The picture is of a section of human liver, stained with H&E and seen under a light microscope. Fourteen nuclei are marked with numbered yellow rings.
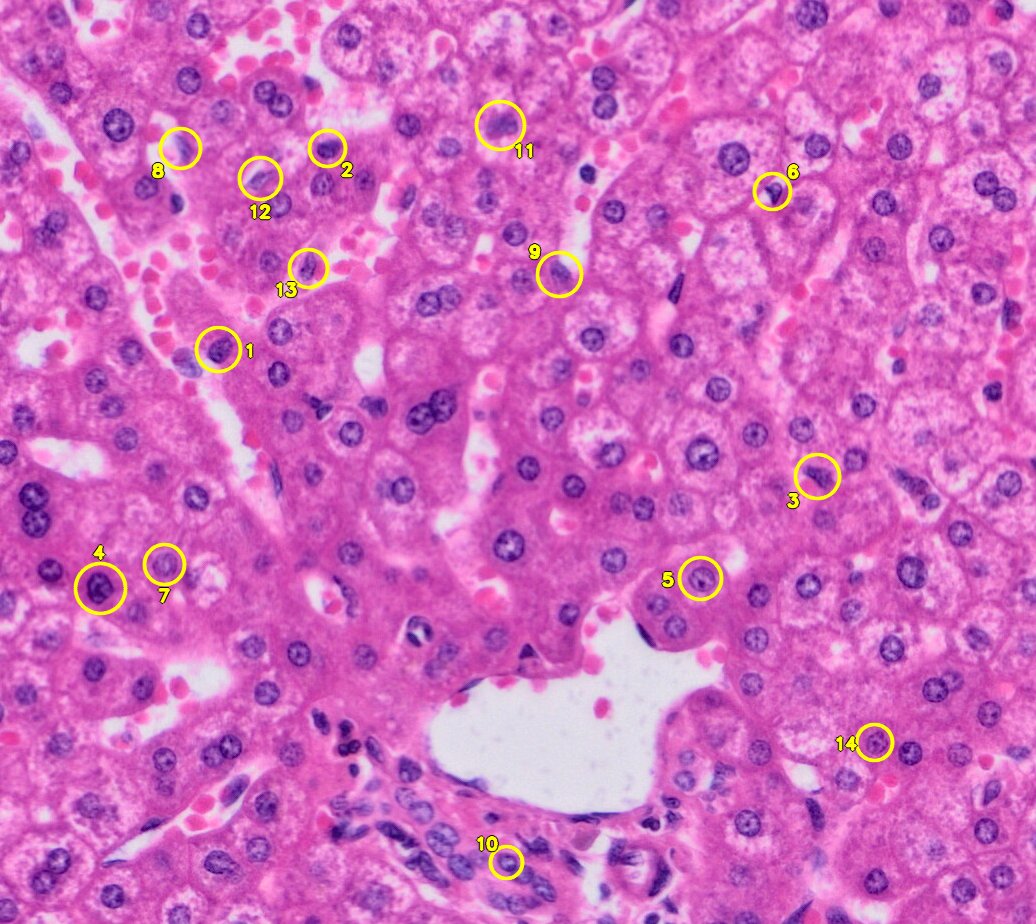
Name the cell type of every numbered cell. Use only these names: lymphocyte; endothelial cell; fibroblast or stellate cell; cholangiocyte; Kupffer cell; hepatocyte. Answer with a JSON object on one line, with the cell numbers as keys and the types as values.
{"1": "fibroblast or stellate cell", "2": "fibroblast or stellate cell", "3": "endothelial cell", "4": "hepatocyte", "5": "hepatocyte", "6": "endothelial cell", "7": "hepatocyte", "8": "endothelial cell", "9": "endothelial cell", "10": "cholangiocyte", "11": "endothelial cell", "12": "Kupffer cell", "13": "Kupffer cell", "14": "hepatocyte"}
